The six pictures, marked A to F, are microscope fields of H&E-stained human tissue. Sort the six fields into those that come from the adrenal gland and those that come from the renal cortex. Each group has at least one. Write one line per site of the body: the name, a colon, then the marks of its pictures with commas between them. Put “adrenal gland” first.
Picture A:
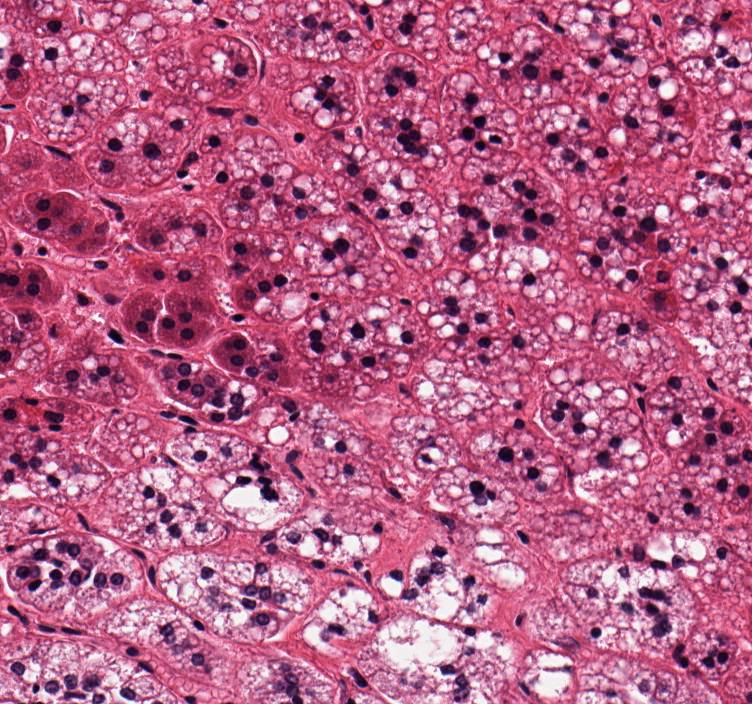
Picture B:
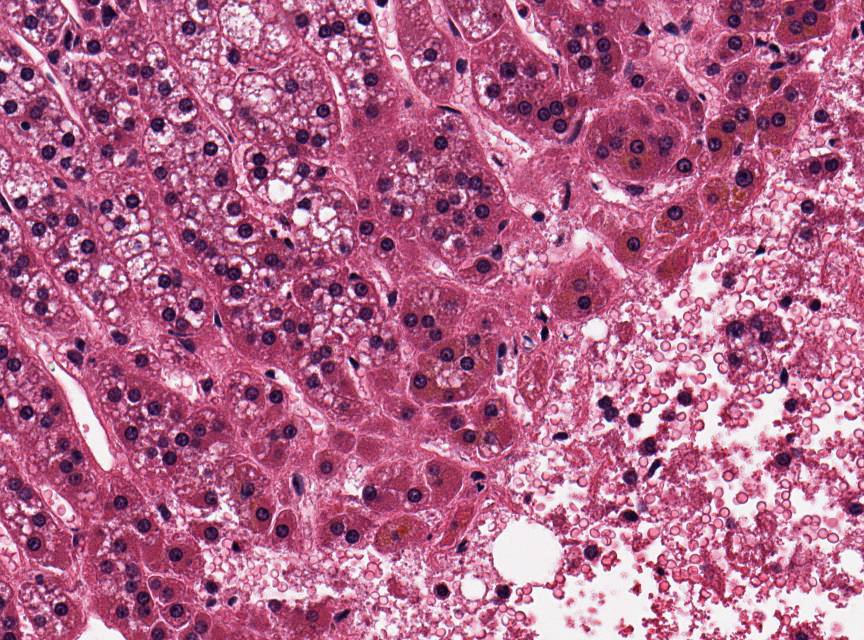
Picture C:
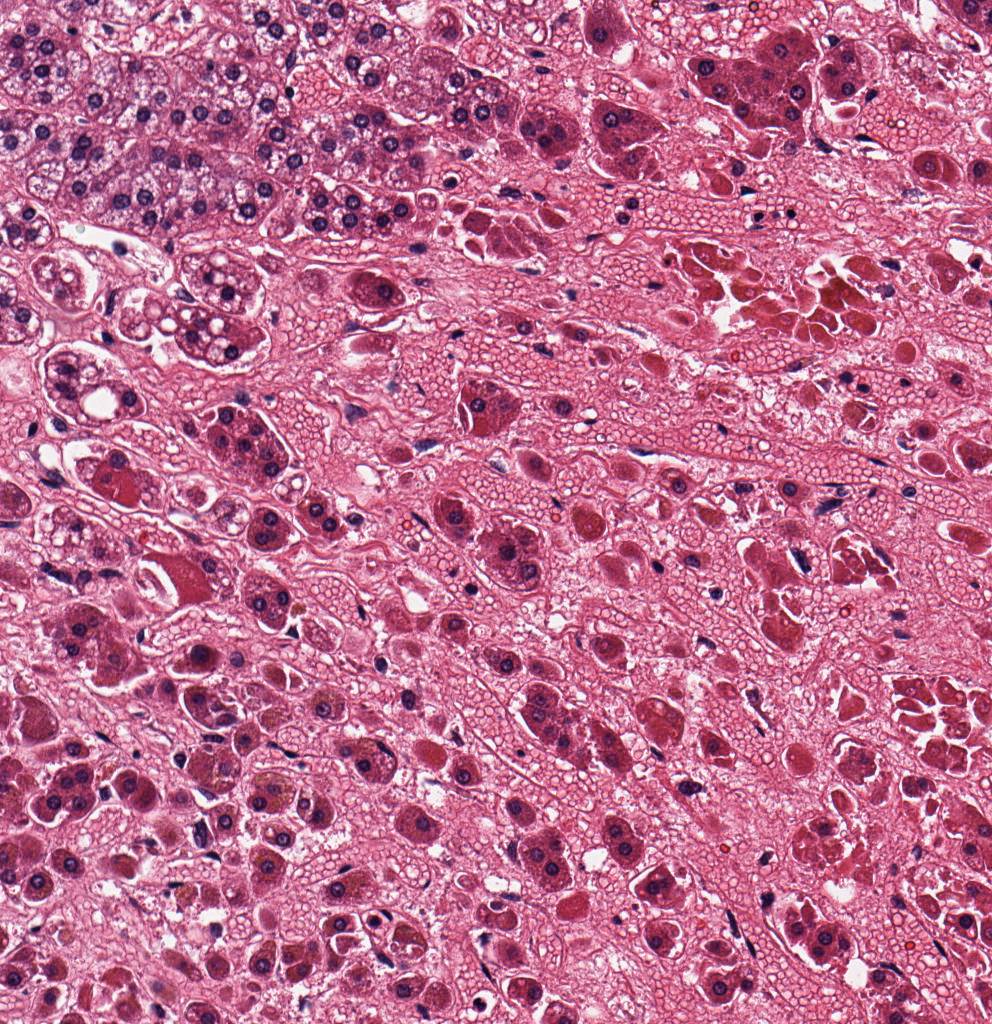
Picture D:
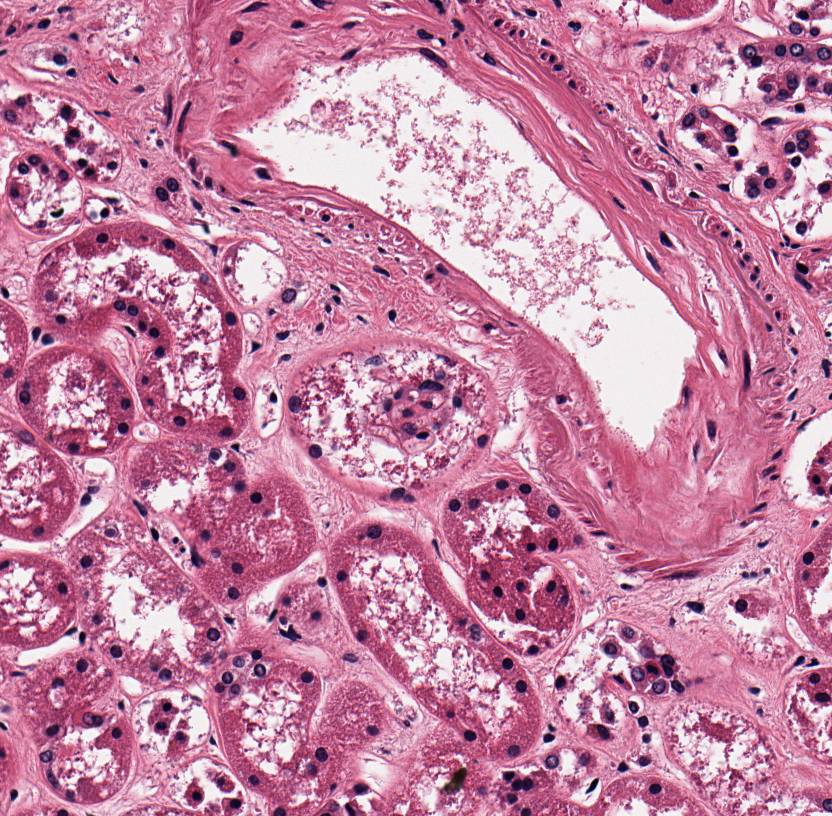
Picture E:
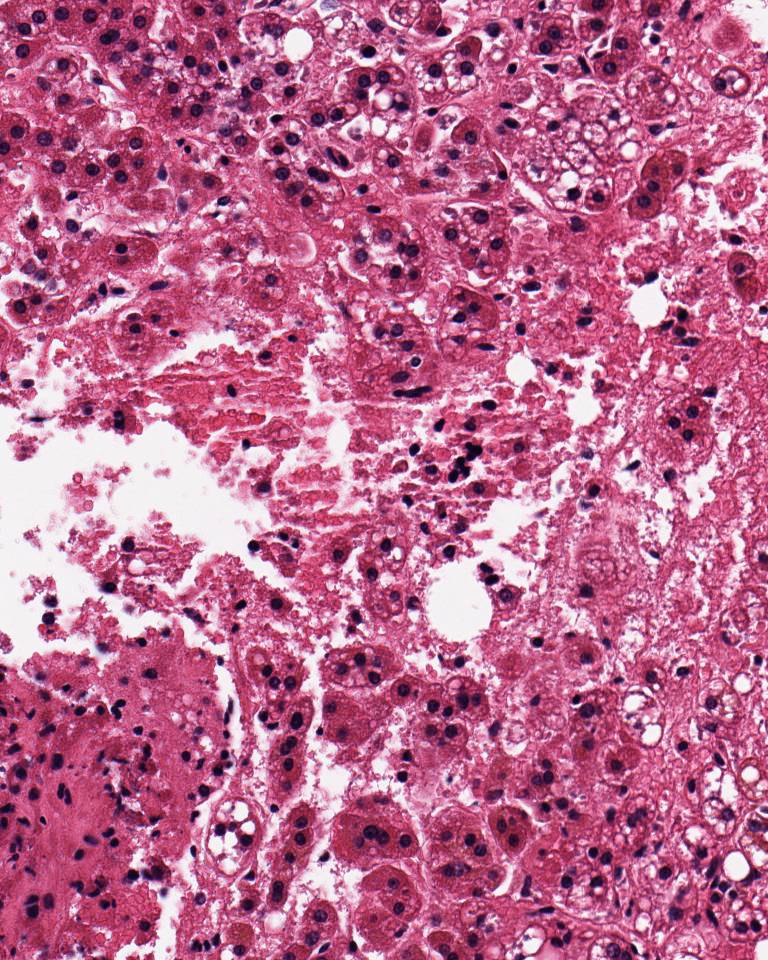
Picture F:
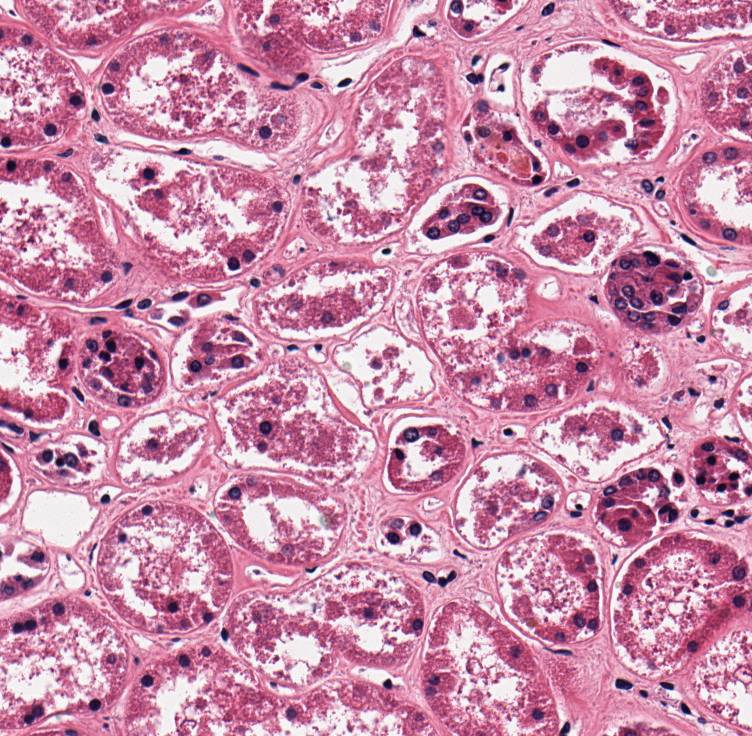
adrenal gland: A, B, C, E
renal cortex: D, F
